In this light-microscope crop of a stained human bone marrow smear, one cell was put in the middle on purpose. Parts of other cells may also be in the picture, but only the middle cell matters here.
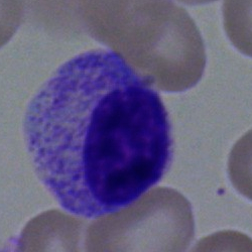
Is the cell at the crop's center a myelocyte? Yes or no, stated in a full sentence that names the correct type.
Yes, this is a myelocyte, the cell in the middle of the crop.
